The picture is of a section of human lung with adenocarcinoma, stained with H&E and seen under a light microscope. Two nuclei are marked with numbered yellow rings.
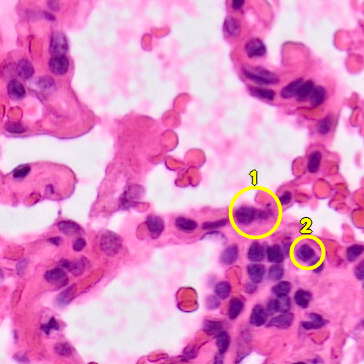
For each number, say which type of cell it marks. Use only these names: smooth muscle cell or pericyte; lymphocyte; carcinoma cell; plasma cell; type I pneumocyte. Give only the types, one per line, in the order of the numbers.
type I pneumocyte
lymphocyte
